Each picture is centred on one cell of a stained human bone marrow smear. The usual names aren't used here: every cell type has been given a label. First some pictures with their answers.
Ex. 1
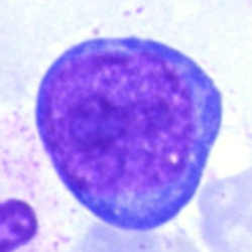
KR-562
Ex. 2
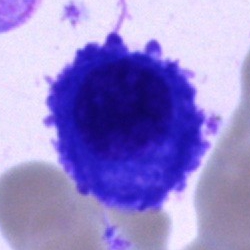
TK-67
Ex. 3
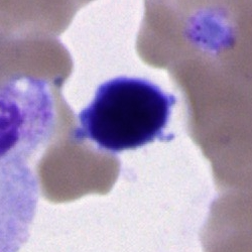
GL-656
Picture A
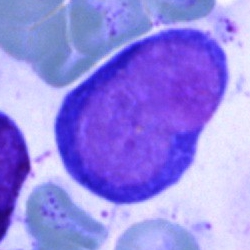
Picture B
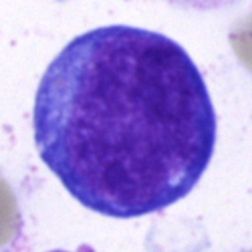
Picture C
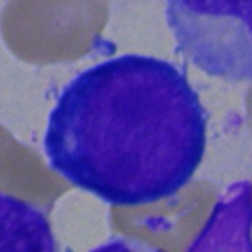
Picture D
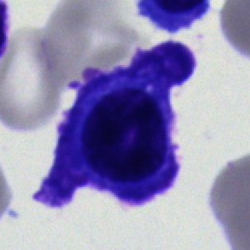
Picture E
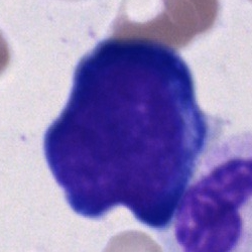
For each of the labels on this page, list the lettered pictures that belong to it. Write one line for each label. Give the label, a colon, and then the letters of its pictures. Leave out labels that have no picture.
KR-562: A, B, C, E
TK-67: D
